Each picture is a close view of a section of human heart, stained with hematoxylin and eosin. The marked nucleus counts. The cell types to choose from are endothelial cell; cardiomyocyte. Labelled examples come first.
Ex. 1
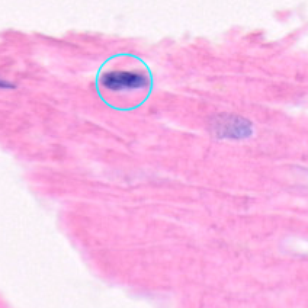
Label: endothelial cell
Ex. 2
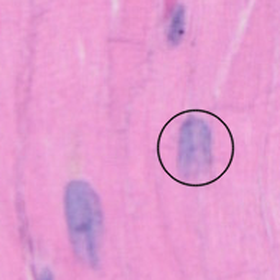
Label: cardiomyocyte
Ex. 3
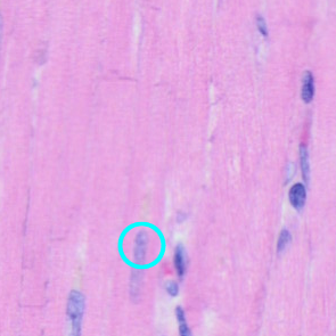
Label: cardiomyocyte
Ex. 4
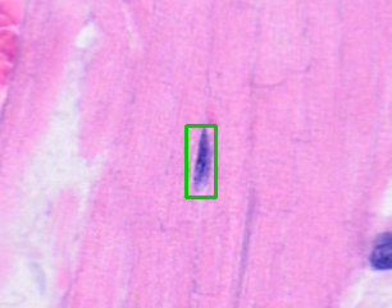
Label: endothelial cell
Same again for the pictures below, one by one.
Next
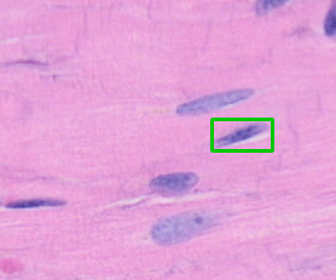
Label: endothelial cell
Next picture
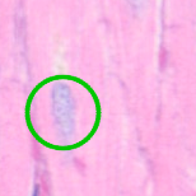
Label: cardiomyocyte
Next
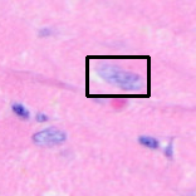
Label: cardiomyocyte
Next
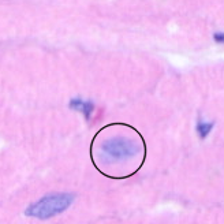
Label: cardiomyocyte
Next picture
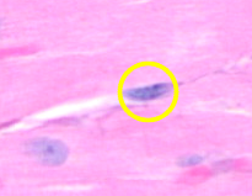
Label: endothelial cell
